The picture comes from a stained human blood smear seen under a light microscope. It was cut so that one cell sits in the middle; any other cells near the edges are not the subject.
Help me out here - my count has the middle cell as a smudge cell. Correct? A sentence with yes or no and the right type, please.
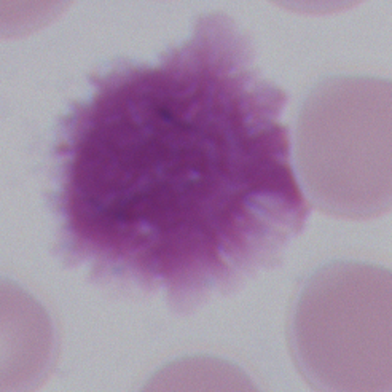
Yes, the cell in the middle is recognised as a smudge cell.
